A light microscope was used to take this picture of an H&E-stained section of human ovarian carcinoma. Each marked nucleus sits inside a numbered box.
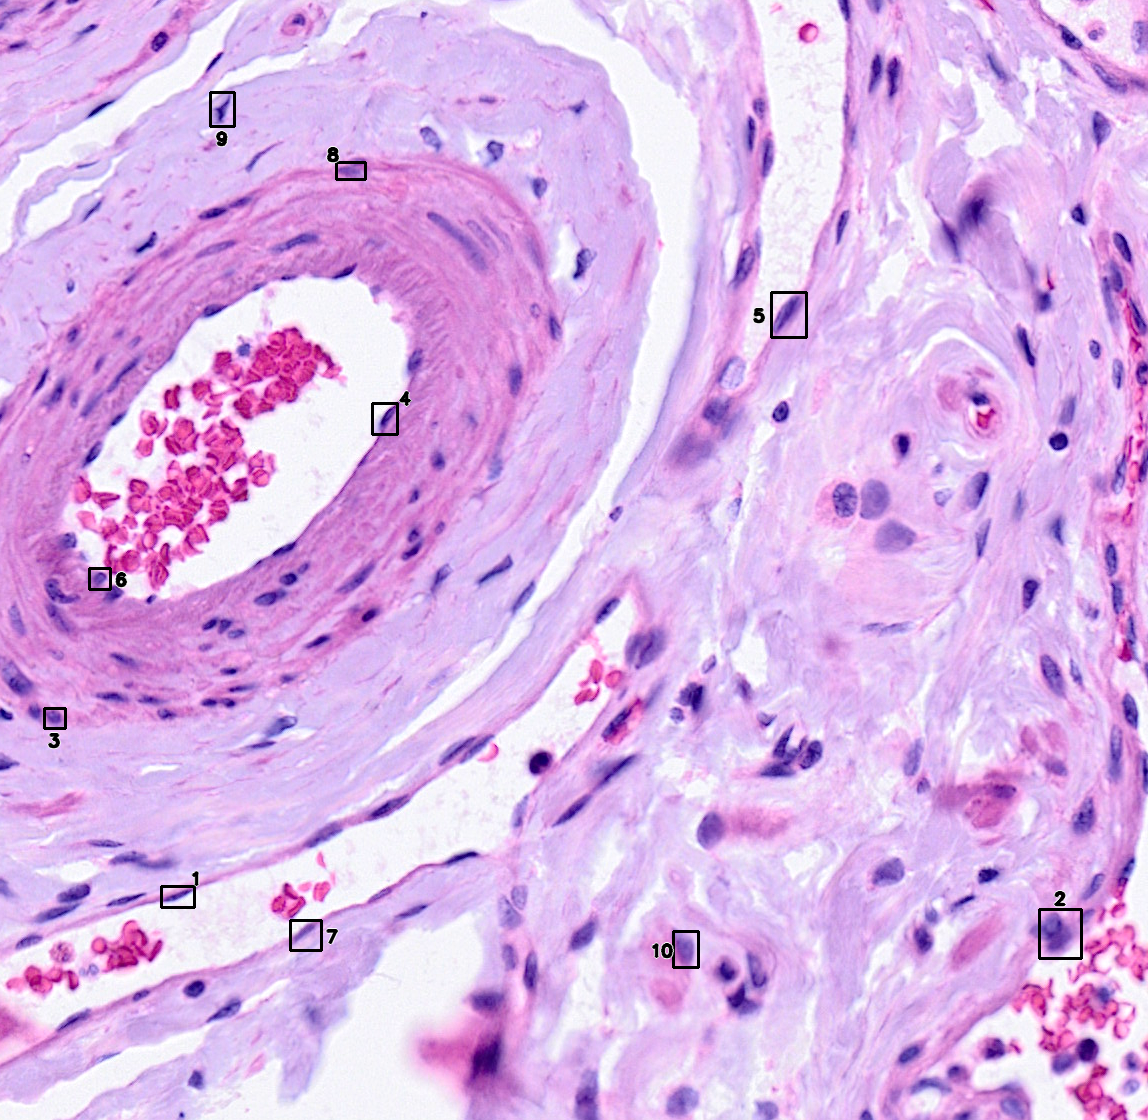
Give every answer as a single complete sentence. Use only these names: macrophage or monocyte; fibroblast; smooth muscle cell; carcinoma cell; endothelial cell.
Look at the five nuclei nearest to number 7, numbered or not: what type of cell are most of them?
The majority of the five nuclei closest to number 7 belong to endothelial cells.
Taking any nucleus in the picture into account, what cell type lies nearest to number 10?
Closest to number 10 lies the nucleus of an endothelial cell.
